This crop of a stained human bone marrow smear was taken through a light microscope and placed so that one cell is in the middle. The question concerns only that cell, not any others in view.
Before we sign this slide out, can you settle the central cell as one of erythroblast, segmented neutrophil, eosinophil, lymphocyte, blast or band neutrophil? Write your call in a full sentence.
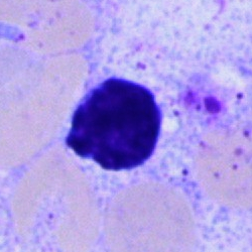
Seen at the centre of the crop is a lymphocyte.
